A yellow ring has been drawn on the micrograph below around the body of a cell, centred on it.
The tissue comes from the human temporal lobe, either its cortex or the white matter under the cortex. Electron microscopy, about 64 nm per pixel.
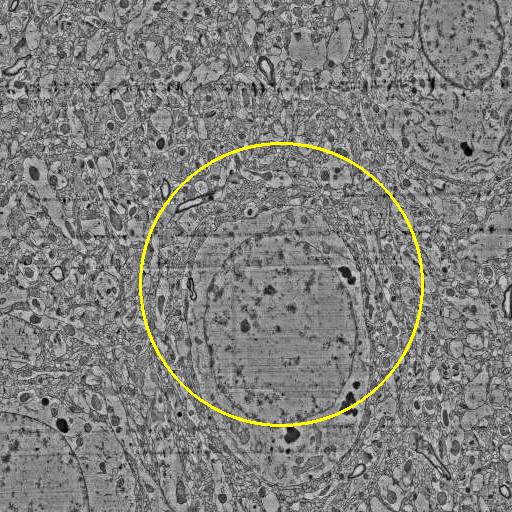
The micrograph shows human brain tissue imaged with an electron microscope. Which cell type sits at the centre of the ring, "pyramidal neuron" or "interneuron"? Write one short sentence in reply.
The cell sitting at the centre of the ring is an interneuron.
